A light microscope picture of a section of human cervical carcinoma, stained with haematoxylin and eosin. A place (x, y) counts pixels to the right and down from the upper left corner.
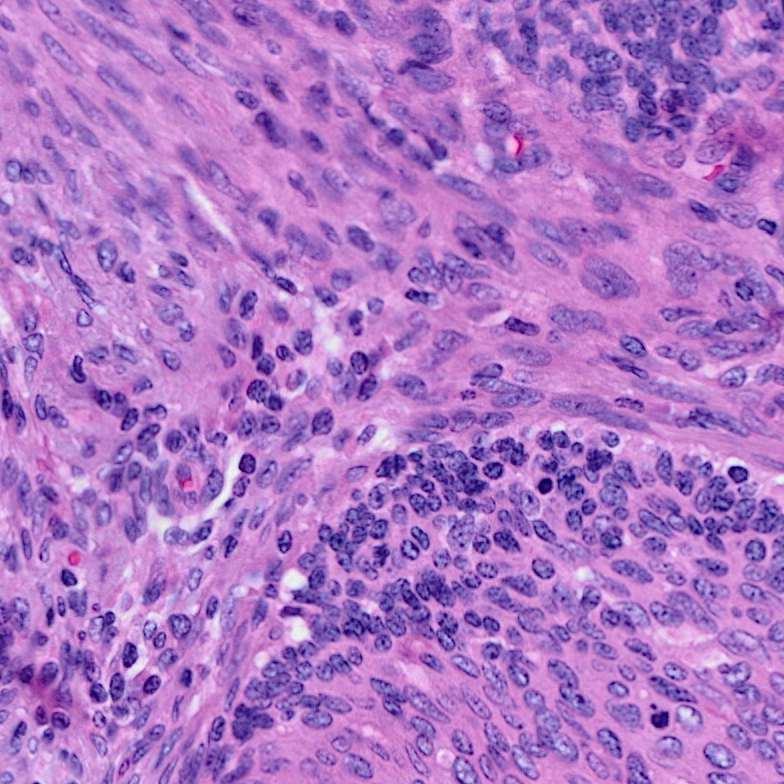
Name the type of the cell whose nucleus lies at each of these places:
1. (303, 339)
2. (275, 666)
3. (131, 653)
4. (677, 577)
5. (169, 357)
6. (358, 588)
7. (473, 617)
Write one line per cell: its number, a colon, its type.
1: lymphocyte
2: squamous carcinoma cell
3: lymphocyte
4: squamous carcinoma cell
5: smooth muscle cell
6: squamous carcinoma cell
7: squamous carcinoma cell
